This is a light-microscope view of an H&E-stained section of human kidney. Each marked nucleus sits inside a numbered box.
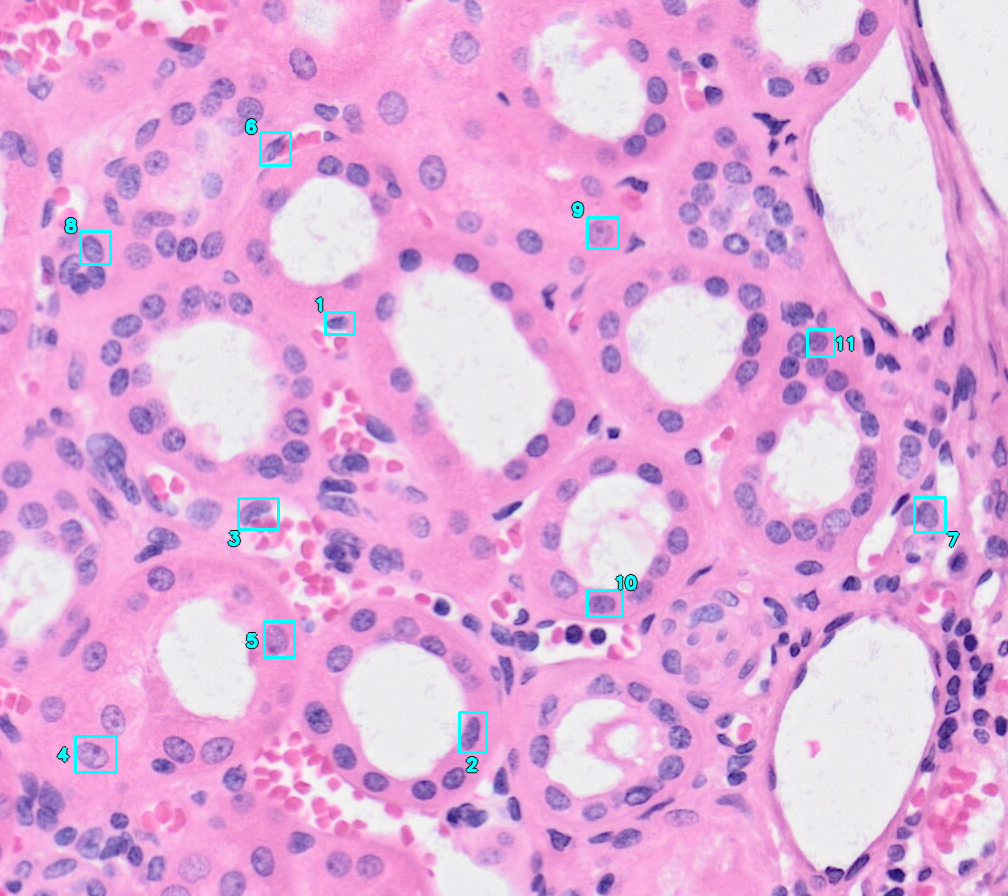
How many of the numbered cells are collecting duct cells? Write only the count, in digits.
3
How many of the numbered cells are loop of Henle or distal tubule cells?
2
